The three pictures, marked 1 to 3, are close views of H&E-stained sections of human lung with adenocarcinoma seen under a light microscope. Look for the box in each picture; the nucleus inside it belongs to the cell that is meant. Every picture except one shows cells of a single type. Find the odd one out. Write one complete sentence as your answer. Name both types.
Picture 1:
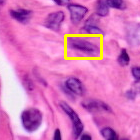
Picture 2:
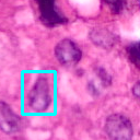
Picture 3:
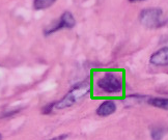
All pictures except 2 show plasma cells; picture 2 shows a “macrophage or monocyte”.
